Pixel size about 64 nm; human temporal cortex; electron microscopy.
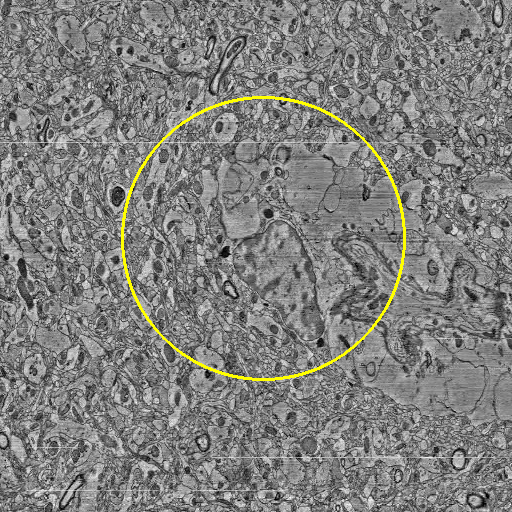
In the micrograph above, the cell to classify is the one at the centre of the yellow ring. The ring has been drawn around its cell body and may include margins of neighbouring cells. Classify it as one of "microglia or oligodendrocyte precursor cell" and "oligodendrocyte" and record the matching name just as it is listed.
microglia or oligodendrocyte precursor cell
